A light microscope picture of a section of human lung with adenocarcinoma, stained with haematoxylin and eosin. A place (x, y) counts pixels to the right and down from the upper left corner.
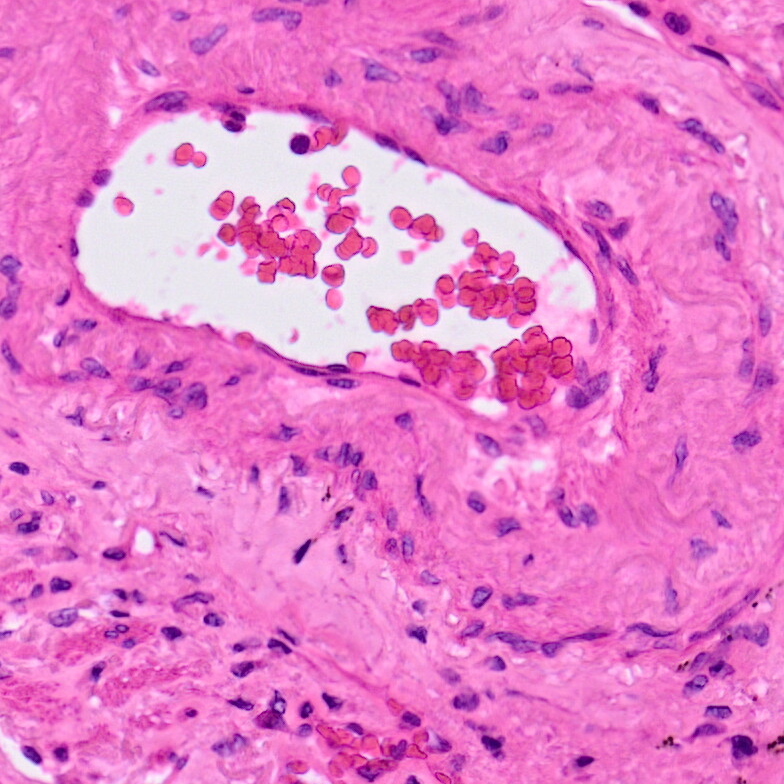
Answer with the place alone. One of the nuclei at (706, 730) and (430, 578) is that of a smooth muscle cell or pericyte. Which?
(430, 578)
